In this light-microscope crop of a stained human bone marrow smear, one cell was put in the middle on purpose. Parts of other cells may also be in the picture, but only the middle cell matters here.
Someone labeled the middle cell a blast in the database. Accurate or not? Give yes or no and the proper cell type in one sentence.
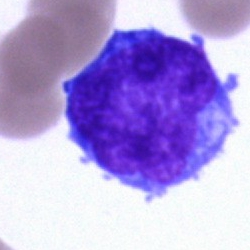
Yes, centred in the crop is a blast.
